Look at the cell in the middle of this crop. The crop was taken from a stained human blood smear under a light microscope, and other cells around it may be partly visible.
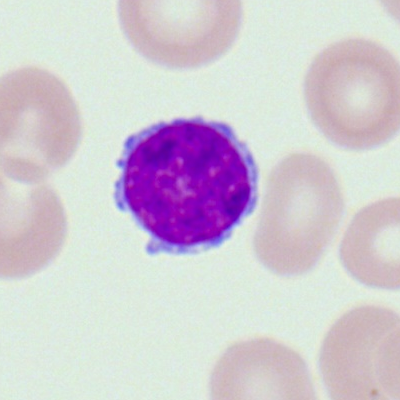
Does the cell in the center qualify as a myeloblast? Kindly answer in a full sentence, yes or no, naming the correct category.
No, what is centred in the crop is not a myeloblast but a lymphocyte.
